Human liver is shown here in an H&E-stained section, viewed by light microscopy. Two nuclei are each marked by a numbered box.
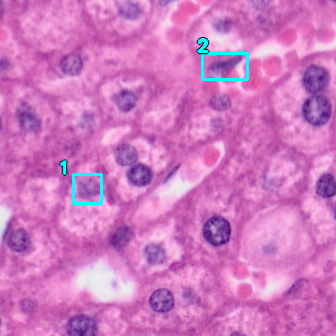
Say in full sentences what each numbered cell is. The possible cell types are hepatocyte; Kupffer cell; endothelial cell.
Cell 1 is a hepatocyte. Cell 2 is an endothelial cell.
